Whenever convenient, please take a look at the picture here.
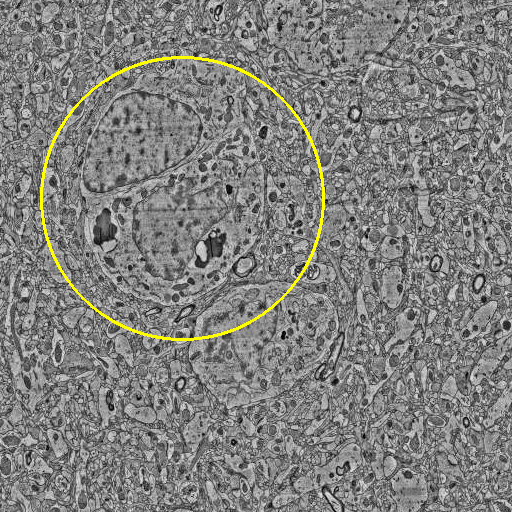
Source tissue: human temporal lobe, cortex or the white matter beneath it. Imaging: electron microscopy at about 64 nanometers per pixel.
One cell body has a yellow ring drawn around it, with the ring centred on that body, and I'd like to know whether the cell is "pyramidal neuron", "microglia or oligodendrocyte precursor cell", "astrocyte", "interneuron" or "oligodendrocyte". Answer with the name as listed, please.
interneuron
